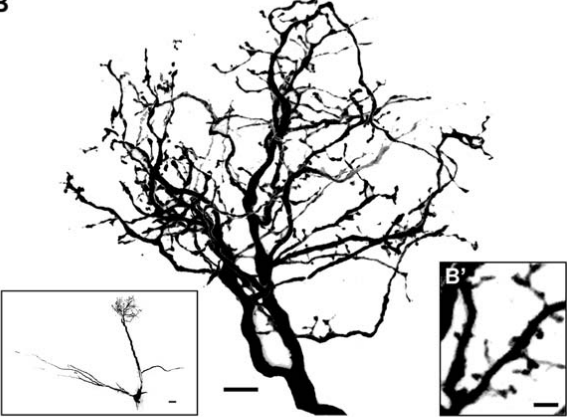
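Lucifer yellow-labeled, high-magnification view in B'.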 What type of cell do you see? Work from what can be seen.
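Mitral cell. The inset shows a cell body with one long apical dendrite ending in a tuft. Several long thin lateral dendrites extend sideways from the cell body.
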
